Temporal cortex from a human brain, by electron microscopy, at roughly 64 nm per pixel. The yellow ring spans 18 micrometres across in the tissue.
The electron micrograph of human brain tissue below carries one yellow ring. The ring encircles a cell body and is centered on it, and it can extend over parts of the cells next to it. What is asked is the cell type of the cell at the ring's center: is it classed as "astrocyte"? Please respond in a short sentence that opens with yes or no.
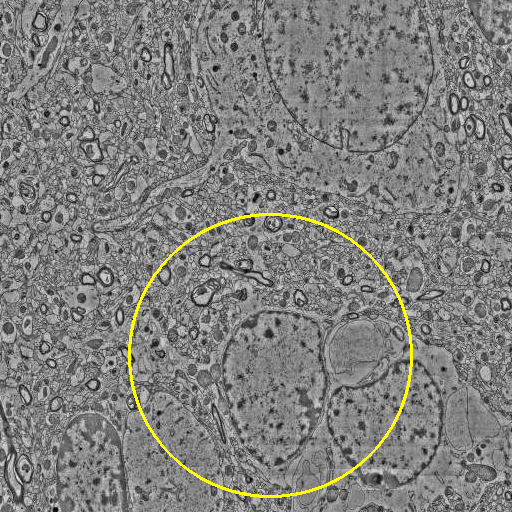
Yes, it is classed that way.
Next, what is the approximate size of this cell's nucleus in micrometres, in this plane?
In this plane, approximately 10 by 7 micrometers.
